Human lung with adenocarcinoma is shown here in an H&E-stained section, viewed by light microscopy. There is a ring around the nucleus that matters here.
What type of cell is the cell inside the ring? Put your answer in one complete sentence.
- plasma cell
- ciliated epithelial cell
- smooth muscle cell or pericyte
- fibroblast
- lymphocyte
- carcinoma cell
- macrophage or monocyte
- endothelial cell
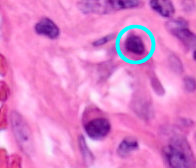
Placed in its cell category, the cell inside the ring is a plasma cell.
